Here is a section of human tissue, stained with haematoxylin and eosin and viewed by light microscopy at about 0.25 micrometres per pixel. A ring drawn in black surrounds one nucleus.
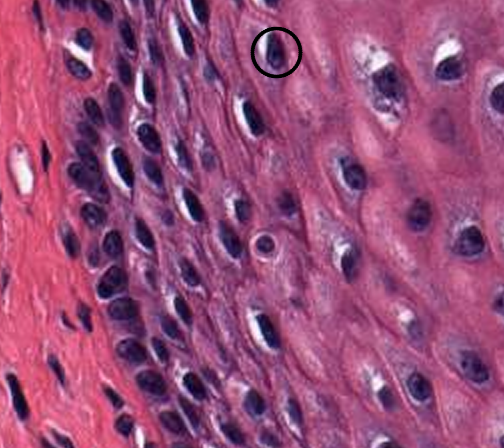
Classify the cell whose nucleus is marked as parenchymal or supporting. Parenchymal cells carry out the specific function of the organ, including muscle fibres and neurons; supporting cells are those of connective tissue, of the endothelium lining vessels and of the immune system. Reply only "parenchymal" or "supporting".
parenchymal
